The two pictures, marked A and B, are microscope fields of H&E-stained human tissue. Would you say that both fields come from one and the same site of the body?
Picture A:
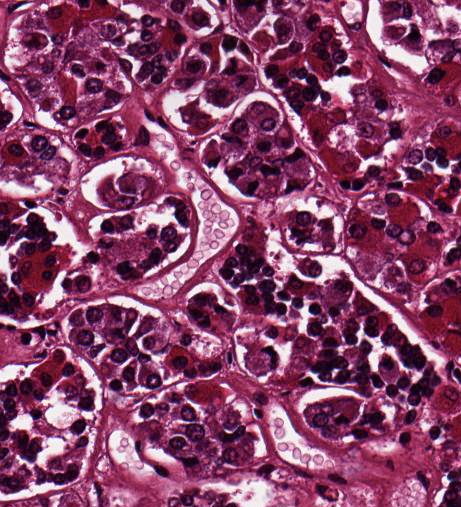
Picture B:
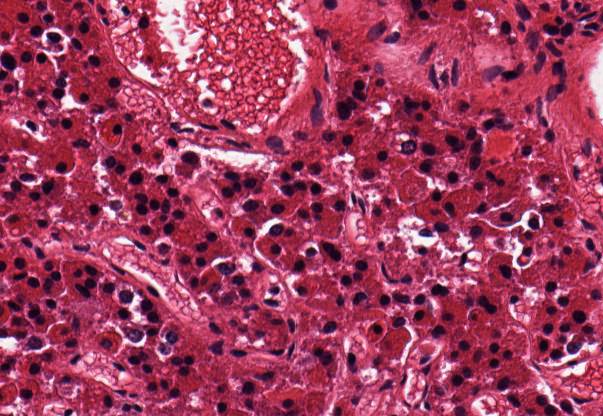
yes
